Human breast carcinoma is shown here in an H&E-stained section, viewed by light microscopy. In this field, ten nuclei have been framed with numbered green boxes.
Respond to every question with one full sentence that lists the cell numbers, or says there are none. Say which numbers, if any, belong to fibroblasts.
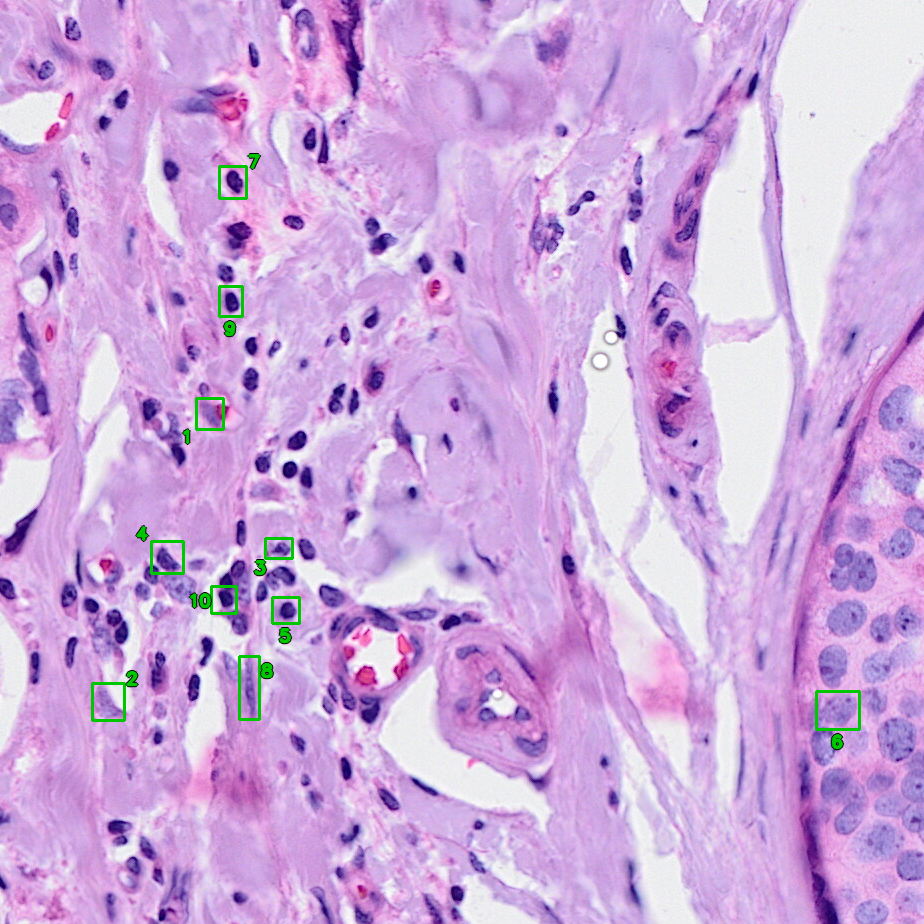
By cell type, the cells numbered 2 and 8 are fibroblasts.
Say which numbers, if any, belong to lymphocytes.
The cells that the numbers 3, 4, 5, 7, 9 and 10 belong to are lymphocytes.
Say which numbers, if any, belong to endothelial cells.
Of those with numbers, only cell 1 is an endothelial cell.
